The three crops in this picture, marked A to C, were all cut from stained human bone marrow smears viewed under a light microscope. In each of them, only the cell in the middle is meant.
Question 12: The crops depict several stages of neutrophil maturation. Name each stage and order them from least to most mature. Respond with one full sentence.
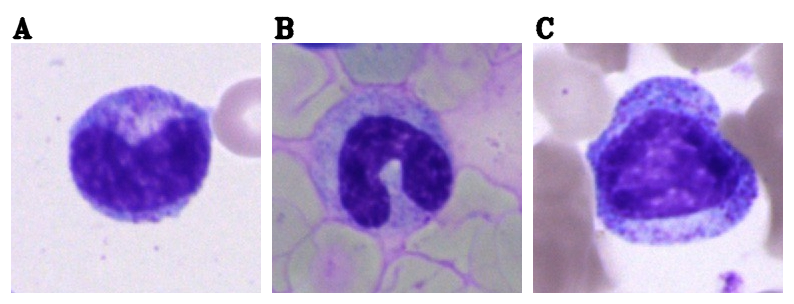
Along the maturation pathway, from earliest to latest, the order is crop C (a promyelocyte), crop A (a metamyelocyte) and crop B (a band neutrophil).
